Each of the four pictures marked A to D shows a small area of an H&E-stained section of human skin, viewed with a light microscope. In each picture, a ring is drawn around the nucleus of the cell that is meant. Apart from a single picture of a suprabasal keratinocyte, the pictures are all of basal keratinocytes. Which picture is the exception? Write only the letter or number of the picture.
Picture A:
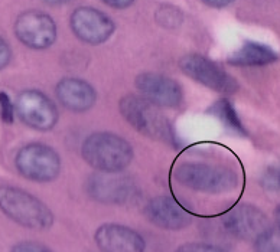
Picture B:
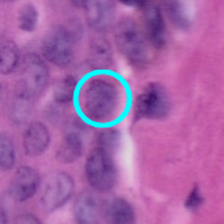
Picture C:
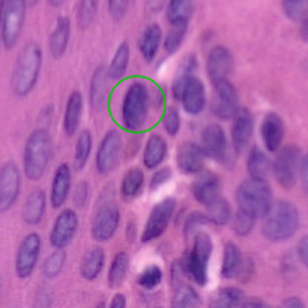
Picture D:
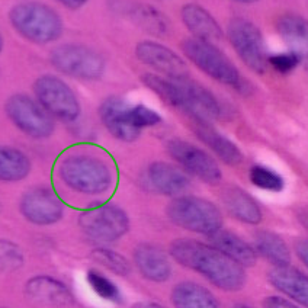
D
